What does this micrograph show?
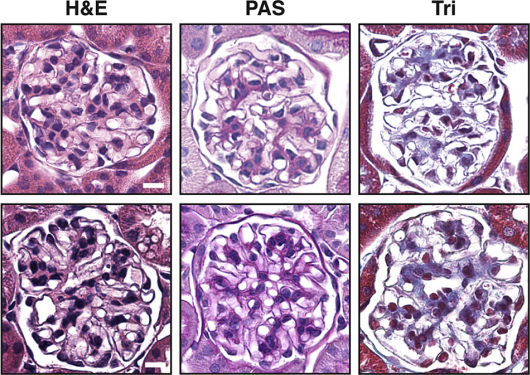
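Six views of renal glomeruli in two rows, each showing a round, compact tuft of capillary loops surrounded by a narrow clear space and a thin outer capsule, with cross-sections of tubules with pink cytoplasm at the edges. Within the tufts, dark purple nuclei are densely packed among open capillary lumens. The tufts in both rows look broadly similar in size and architecture.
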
